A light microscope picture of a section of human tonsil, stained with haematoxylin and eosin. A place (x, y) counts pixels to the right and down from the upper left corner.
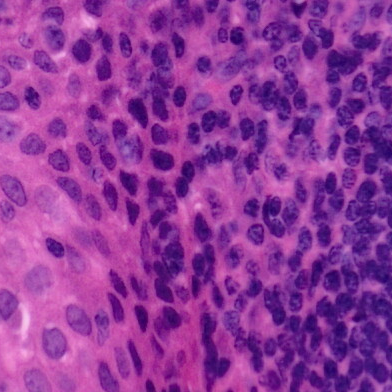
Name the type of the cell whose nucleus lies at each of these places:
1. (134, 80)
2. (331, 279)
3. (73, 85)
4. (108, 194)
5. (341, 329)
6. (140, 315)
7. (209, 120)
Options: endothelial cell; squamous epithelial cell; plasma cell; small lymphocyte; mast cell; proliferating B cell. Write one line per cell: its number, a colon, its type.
1: squamous epithelial cell
2: small lymphocyte
3: squamous epithelial cell
4: squamous epithelial cell
5: small lymphocyte
6: squamous epithelial cell
7: plasma cell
